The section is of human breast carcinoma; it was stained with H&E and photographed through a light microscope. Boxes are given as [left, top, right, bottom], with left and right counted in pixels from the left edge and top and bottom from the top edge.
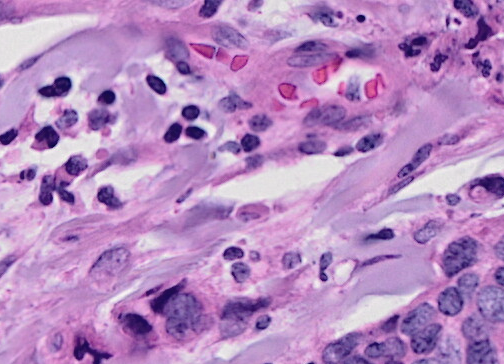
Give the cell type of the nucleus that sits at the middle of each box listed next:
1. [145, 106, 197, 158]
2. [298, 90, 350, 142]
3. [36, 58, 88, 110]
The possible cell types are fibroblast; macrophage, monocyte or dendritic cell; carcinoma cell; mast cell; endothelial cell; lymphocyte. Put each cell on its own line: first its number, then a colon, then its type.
1: lymphocyte
2: endothelial cell
3: lymphocyte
